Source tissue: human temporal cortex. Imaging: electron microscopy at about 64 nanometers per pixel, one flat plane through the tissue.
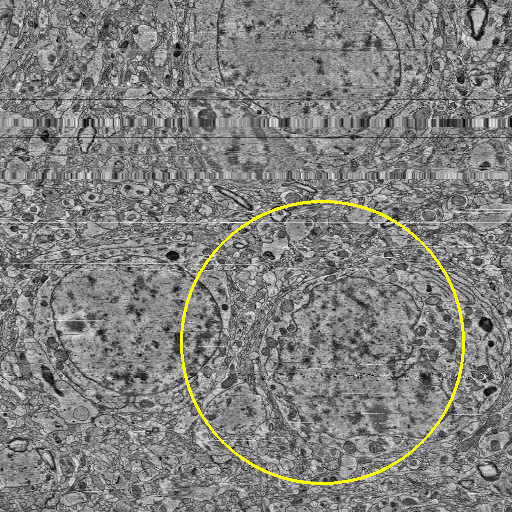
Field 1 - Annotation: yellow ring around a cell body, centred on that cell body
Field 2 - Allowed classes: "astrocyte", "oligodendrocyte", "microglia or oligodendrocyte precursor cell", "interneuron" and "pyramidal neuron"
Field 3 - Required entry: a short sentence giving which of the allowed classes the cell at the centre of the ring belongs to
The centred cell is an interneuron.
